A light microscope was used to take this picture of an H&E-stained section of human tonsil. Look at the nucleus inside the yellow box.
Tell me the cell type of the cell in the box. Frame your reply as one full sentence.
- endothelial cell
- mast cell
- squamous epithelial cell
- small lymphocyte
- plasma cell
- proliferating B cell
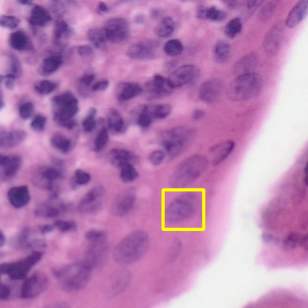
In this tissue sample, the cell in the box is a squamous epithelial cell.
